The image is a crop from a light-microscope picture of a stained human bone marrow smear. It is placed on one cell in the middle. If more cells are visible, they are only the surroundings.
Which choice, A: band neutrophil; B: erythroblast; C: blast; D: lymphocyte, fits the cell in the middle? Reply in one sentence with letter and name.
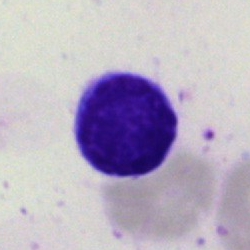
Since the cell in the middle is a lymphocyte, option D is correct.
